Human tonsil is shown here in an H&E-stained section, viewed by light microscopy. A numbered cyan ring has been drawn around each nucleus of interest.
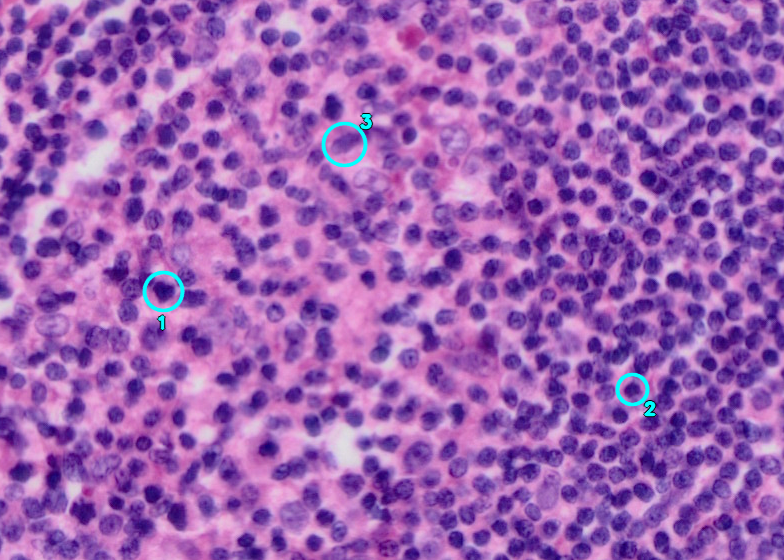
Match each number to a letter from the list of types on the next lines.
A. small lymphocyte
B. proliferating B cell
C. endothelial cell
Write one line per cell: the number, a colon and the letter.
1: B
2: A
3: B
